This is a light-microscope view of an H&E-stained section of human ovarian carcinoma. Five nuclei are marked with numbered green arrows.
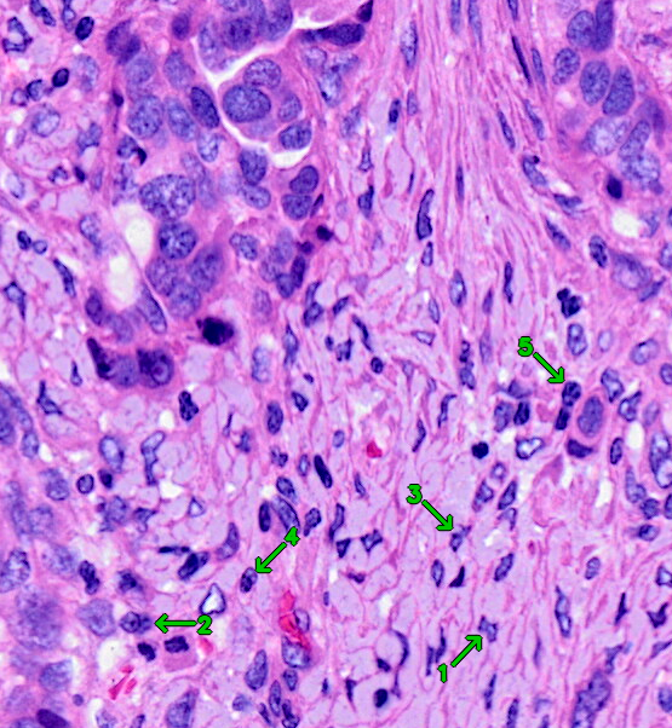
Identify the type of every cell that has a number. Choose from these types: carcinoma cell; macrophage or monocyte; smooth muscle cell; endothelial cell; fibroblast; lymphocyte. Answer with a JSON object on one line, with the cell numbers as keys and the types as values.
{"1": "fibroblast", "2": "lymphocyte", "3": "fibroblast", "4": "lymphocyte", "5": "lymphocyte"}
